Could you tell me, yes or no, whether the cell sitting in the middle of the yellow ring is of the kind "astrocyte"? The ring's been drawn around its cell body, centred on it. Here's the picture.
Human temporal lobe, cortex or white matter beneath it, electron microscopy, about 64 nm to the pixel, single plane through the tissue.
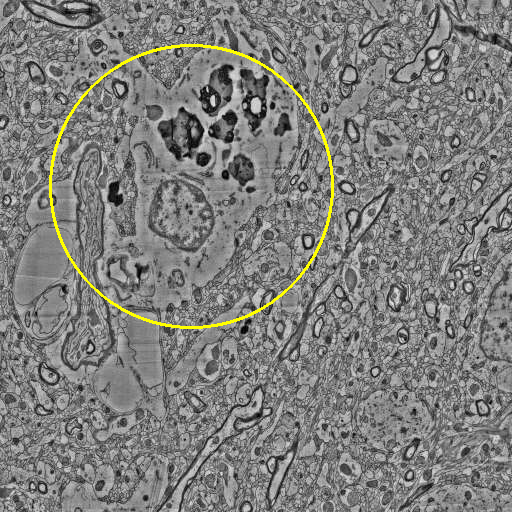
Yes, it is.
